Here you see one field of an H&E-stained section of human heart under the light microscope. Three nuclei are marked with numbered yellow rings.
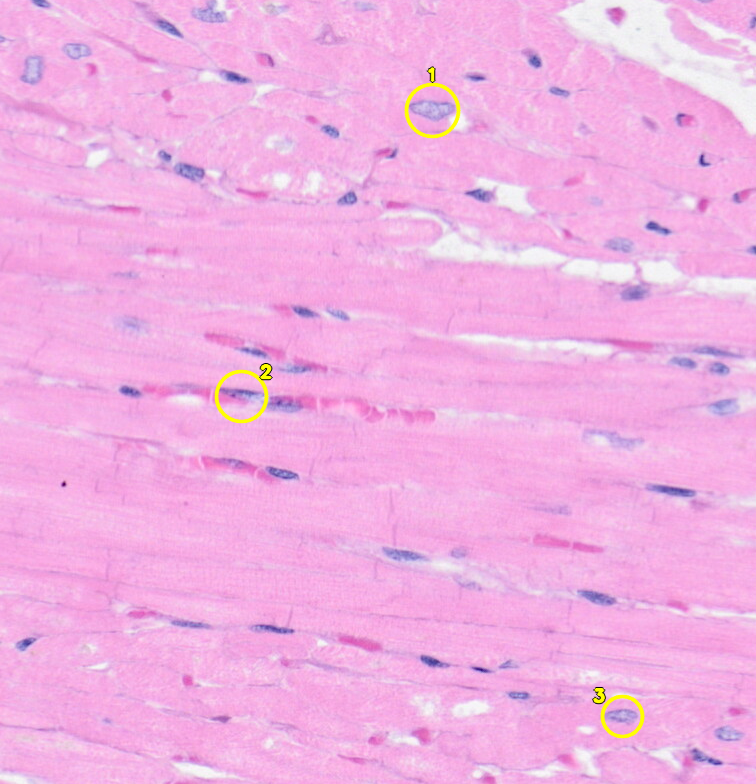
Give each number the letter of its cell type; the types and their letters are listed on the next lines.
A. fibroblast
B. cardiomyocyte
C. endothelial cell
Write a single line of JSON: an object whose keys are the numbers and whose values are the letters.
{"1": "B", "2": "C", "3": "B"}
